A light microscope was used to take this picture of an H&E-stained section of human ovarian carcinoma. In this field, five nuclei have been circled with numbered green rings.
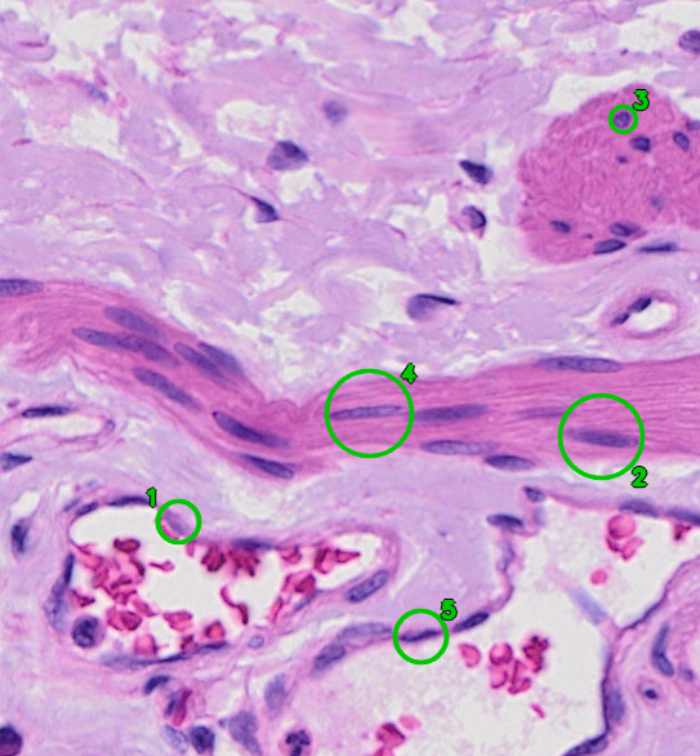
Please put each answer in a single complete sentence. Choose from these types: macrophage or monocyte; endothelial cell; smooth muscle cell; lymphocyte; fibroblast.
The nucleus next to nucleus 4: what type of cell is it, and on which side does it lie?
A smooth muscle cell lies closest, to the right of nucleus 4.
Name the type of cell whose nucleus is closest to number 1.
The nearest nucleus to number 1 belongs to an endothelial cell.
